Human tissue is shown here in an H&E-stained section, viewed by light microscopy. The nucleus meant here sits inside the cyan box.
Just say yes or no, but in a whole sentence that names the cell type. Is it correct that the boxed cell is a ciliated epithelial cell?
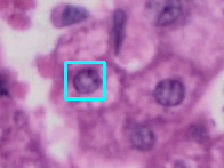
No, the boxed cell is reported as a hepatocyte rather than a ciliated epithelial cell.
